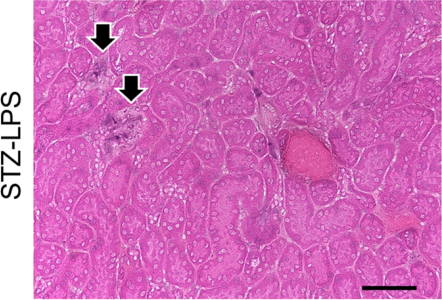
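Kidney cortex with tightly packed tubule cross-sections lined by pink cuboidal epithelium with round pale nuclei. Two small glomeruli at upper left show clusters of darker nuclei, and a pink homogeneous mass fills a vessel lumen near the centre right.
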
